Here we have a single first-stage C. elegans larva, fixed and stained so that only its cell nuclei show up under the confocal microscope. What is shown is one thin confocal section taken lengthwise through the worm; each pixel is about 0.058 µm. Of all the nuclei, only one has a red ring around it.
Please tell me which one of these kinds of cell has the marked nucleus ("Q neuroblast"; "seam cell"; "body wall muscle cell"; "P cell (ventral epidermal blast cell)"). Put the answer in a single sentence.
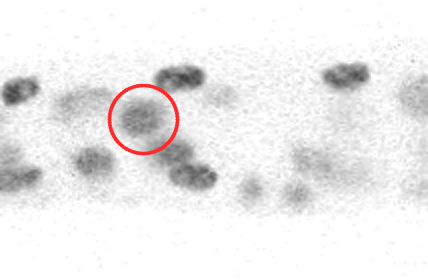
It belongs to a Q neuroblast.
